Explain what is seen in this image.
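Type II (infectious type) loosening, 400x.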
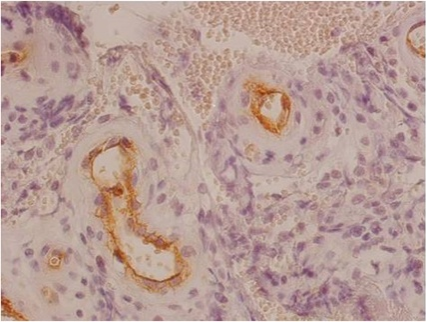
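This high-power field shows small blood vessels in a cellular connective tissue, their endothelial lining stained brown. Some vessels are surrounded by a pale, layered rim of concentric cells. Between the vessels the stroma holds many purple nuclei, round to spindle-shaped, lying in a pale matrix, consistent with an inflammatory cell infiltrate. Free red blood cells lie in a pool at the top of the field.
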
